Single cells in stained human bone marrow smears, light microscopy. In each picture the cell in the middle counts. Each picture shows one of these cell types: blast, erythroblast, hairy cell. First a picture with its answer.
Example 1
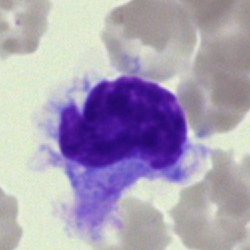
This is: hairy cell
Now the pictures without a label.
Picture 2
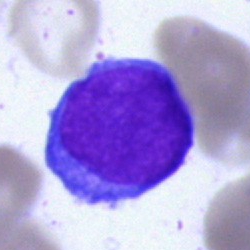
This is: blast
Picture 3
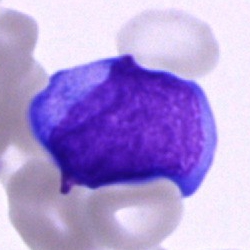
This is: blast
